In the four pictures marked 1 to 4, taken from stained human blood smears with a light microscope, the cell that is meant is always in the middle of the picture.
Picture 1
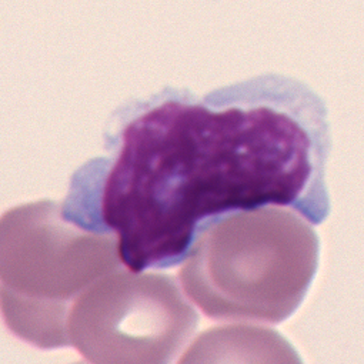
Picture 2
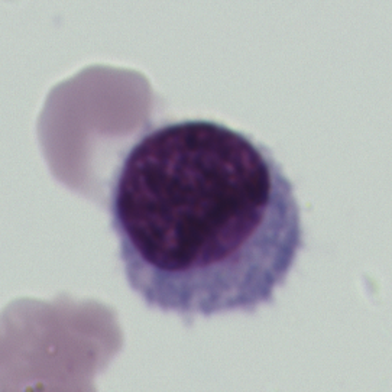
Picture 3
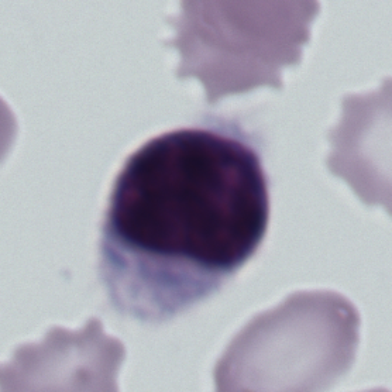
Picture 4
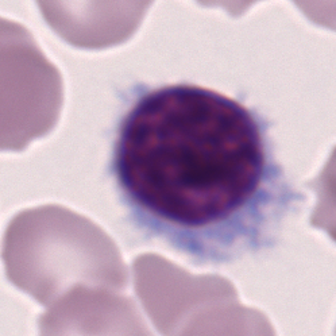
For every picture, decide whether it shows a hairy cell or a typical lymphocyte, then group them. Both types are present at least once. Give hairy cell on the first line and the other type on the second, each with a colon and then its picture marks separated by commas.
hairy cell: 2, 3, 4
typical lymphocyte: 1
